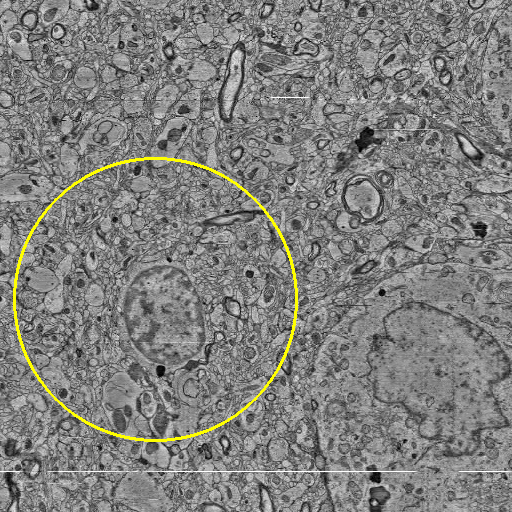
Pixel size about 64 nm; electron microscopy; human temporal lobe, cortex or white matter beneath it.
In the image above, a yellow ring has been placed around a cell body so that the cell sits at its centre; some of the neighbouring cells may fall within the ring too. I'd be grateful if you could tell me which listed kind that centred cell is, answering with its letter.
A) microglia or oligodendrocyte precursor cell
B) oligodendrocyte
B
